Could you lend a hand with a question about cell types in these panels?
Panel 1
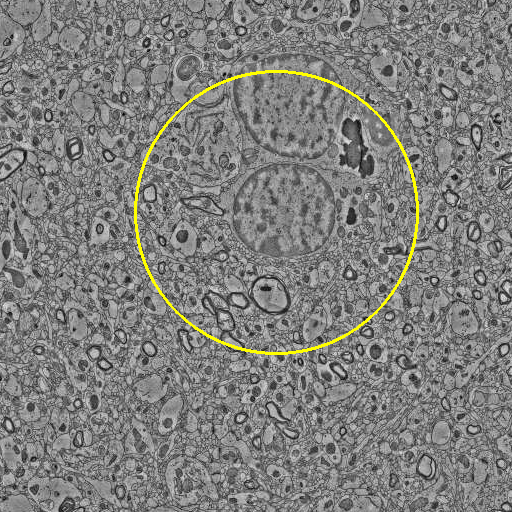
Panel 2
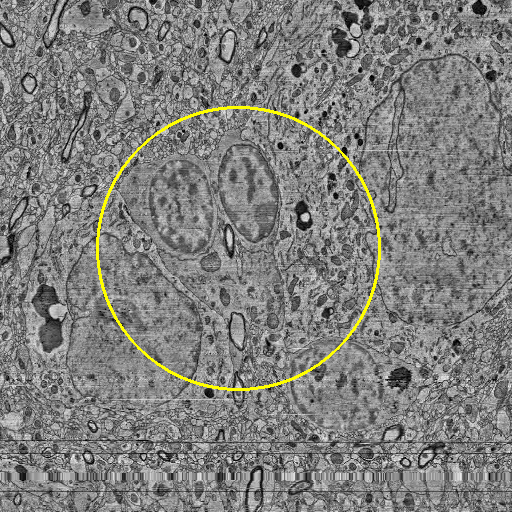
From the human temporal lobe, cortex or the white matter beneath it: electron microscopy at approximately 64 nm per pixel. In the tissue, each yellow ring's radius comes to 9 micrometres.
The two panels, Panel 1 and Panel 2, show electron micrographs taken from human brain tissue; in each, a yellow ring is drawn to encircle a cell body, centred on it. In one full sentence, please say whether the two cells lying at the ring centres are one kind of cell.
Yes, the cells at the ring centres in the two panels are one kind of cell.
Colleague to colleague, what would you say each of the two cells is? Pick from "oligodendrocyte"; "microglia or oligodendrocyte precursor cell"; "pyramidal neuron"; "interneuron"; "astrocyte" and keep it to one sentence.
The first and the second cell are each an oligodendrocyte.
